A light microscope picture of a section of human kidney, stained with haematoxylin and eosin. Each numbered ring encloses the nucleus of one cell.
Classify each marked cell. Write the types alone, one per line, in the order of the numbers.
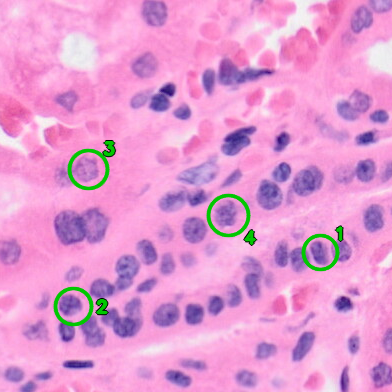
collecting duct cell
collecting duct cell
proximal tubule cell
collecting duct cell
